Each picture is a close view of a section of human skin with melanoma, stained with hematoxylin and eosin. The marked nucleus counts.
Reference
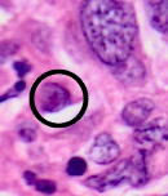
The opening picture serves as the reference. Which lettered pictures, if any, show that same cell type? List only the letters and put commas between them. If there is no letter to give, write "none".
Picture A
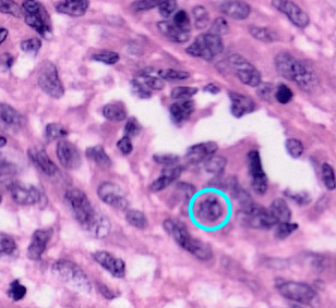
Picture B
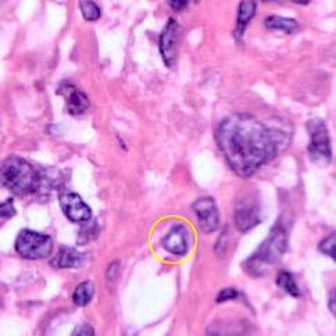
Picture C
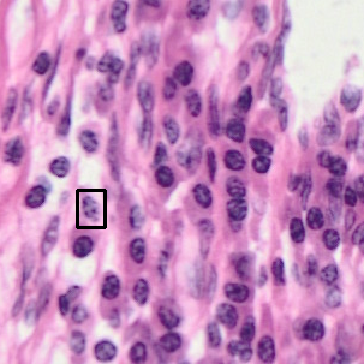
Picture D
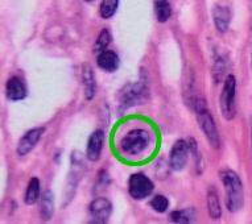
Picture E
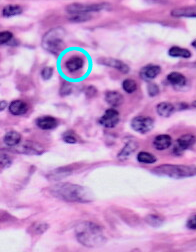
A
